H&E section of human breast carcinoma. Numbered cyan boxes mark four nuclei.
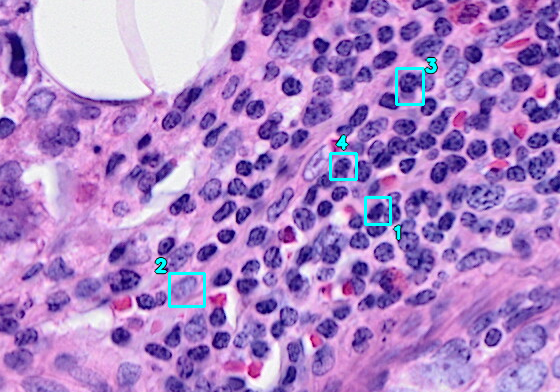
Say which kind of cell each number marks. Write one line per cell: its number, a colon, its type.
1: lymphocyte
2: endothelial cell
3: lymphocyte
4: lymphocyte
